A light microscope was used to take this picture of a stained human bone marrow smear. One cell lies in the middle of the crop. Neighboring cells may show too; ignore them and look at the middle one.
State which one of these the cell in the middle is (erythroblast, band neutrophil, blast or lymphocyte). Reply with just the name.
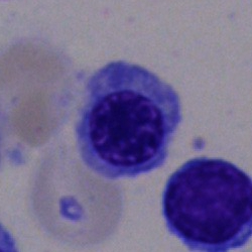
erythroblast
